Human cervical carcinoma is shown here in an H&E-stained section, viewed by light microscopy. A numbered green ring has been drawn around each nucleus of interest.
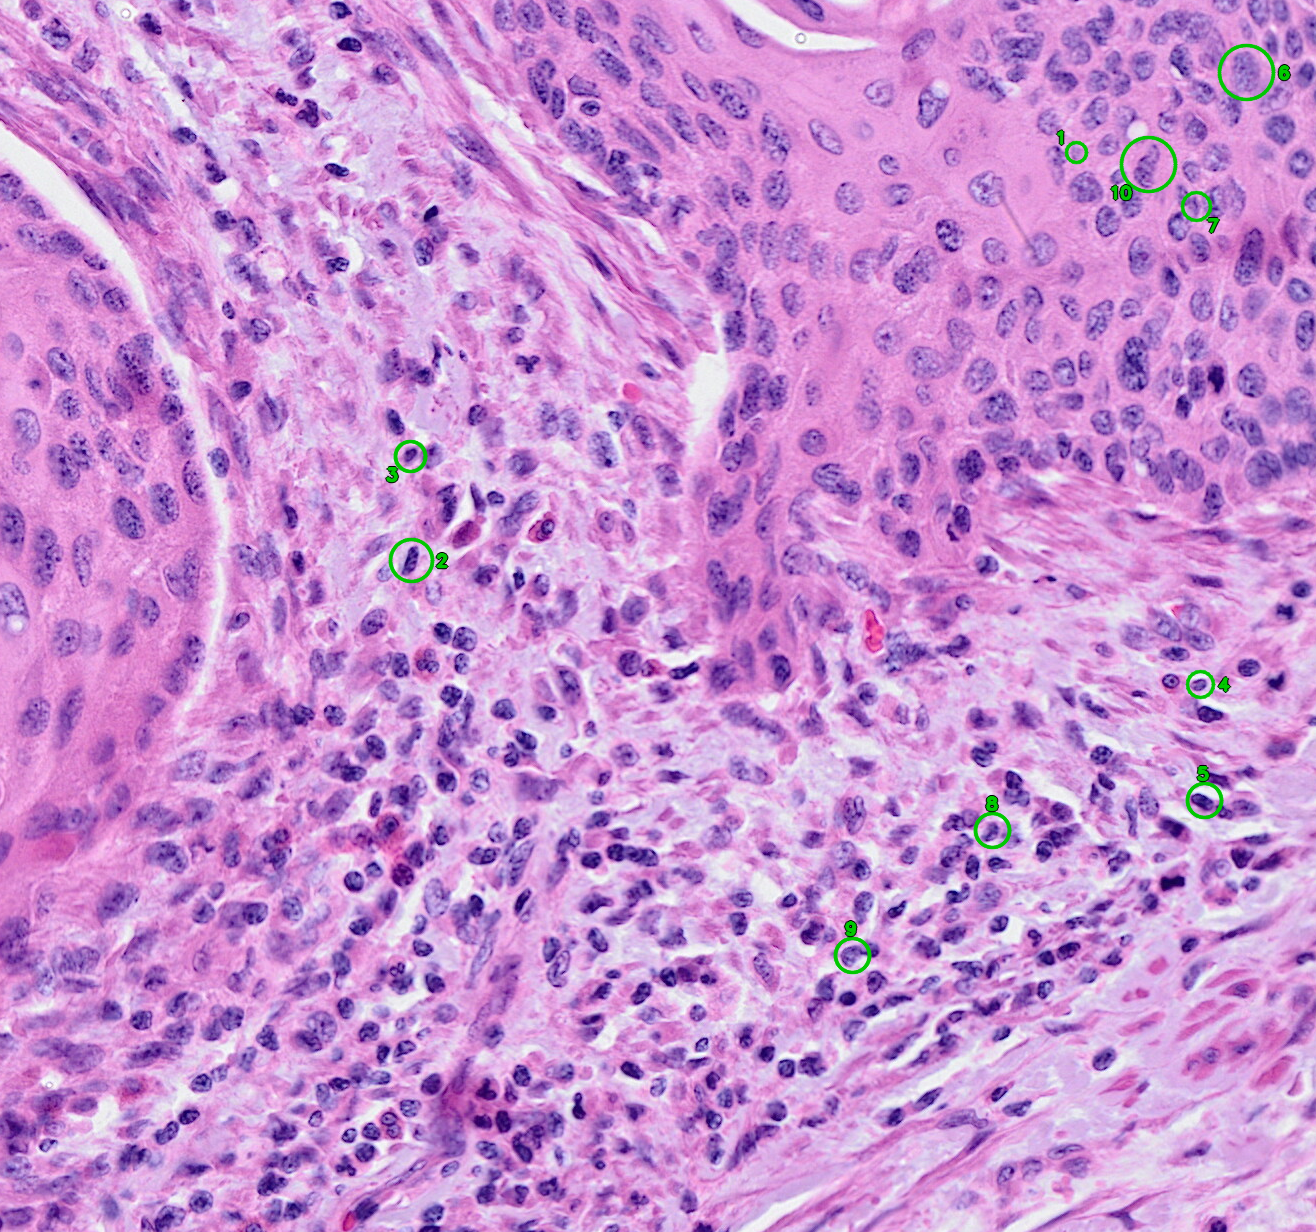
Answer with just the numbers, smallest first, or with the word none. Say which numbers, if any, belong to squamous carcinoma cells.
1, 6, 7, 10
